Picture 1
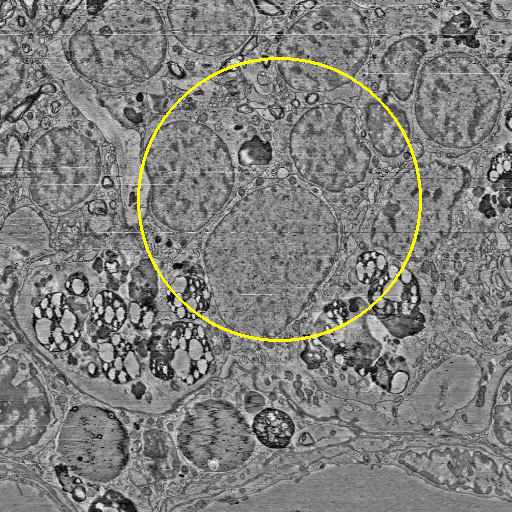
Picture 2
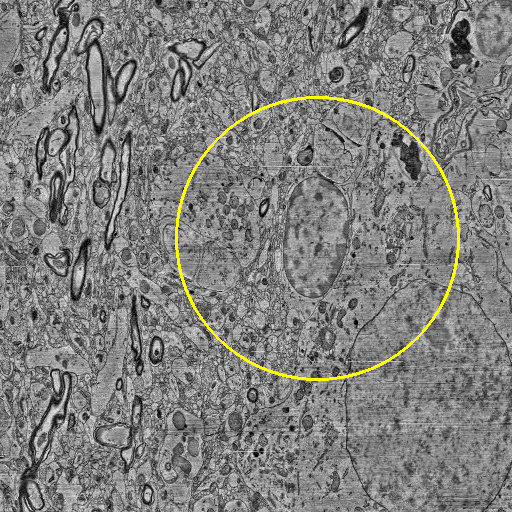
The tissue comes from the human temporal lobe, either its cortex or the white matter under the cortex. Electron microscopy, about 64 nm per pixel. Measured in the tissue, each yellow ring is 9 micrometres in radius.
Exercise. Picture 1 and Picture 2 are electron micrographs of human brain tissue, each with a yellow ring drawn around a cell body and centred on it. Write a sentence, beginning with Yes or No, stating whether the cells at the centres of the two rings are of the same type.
No, the cells at the centres of the rings are of two types.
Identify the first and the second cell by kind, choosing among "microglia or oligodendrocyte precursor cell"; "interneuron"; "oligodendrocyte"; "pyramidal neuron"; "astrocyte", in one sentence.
The one in the first picture is an astrocyte, while the one in the second is a microglial cell or oligodendrocyte precursor cell.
